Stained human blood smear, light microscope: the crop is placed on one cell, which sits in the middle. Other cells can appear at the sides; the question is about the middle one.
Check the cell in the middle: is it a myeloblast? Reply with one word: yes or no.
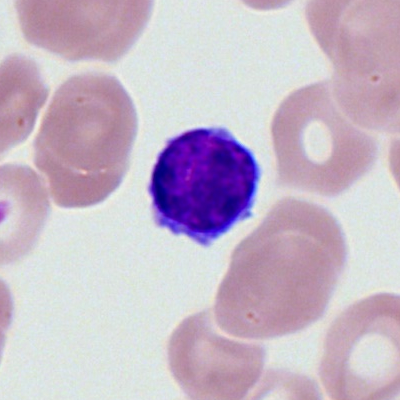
no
